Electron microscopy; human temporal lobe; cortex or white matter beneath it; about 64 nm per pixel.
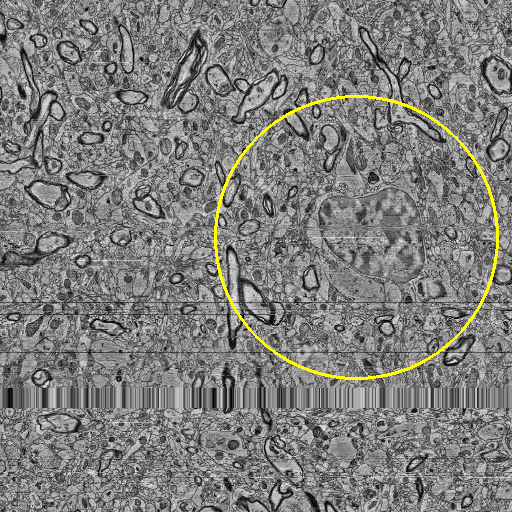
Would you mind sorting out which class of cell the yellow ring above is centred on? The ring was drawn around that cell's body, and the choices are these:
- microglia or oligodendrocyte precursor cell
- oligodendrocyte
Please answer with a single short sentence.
This is the cell body of a microglial cell or oligodendrocyte precursor cell.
